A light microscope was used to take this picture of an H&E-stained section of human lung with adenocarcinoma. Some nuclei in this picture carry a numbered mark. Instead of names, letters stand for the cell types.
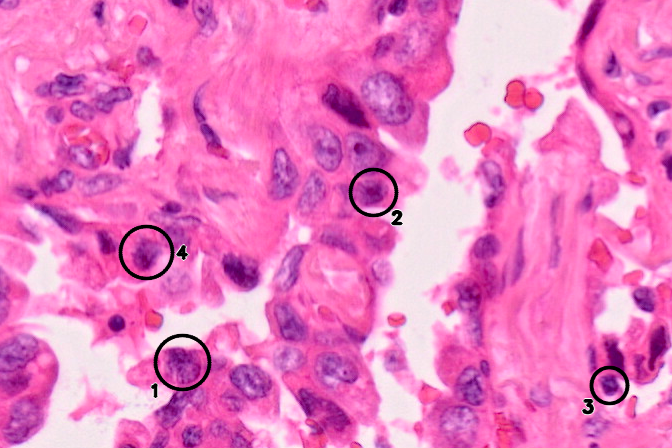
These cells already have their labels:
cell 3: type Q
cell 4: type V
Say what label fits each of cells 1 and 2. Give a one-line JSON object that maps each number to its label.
{"1": "type V", "2": "type V"}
